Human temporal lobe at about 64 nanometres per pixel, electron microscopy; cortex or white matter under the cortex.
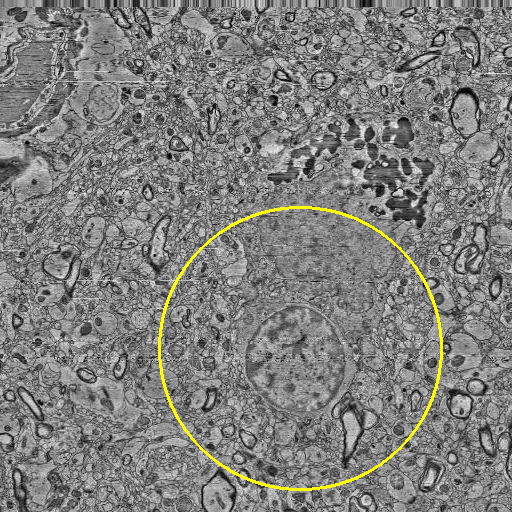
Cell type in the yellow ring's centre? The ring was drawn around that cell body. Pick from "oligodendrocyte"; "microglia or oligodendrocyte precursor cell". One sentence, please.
The ringed cell body is that of an oligodendrocyte.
